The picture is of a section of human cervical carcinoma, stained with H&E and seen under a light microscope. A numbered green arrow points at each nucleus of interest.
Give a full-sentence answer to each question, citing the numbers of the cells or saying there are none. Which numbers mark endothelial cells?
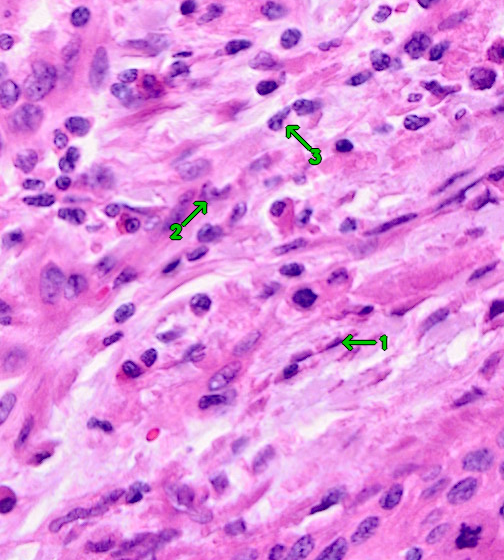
Among the marked cells, cell number 2 alone is an endothelial cell.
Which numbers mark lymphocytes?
Nothing but cell 3 is a lymphocyte among the numbered ones.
